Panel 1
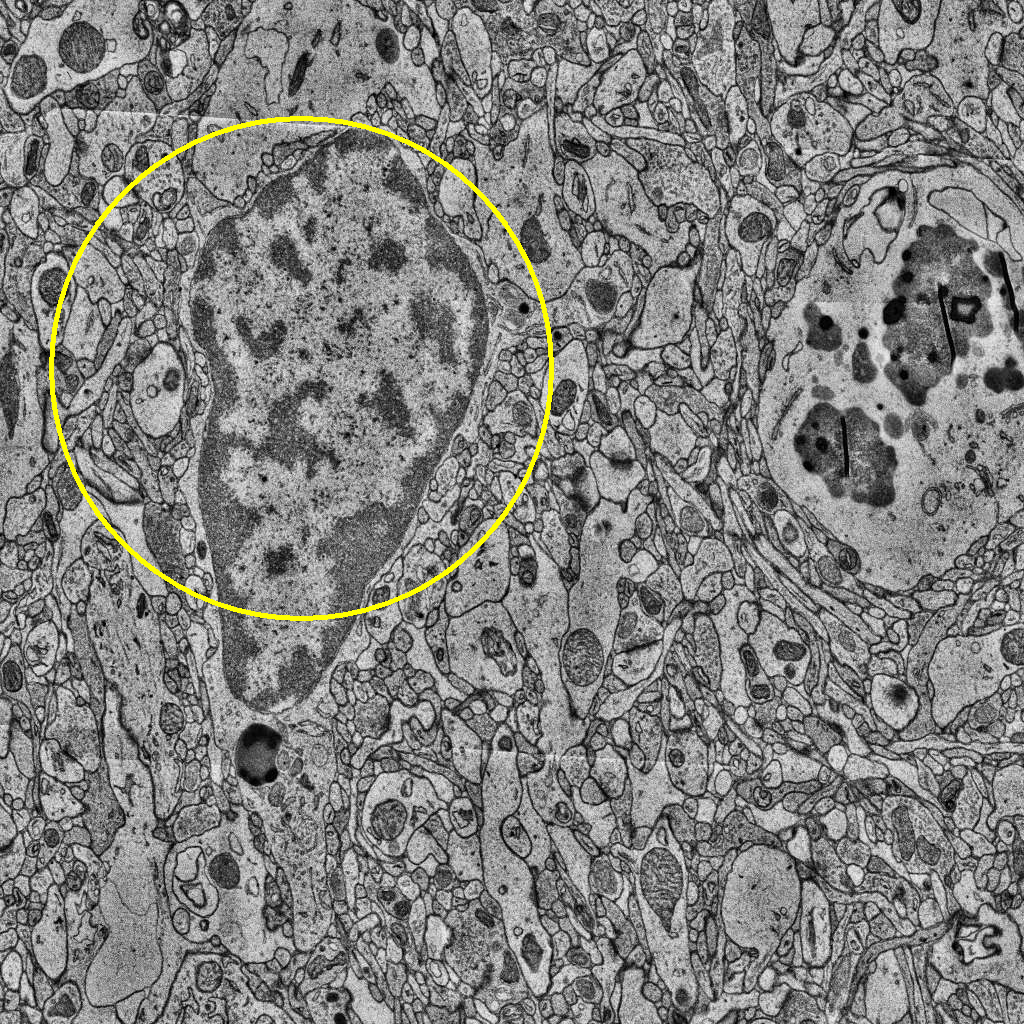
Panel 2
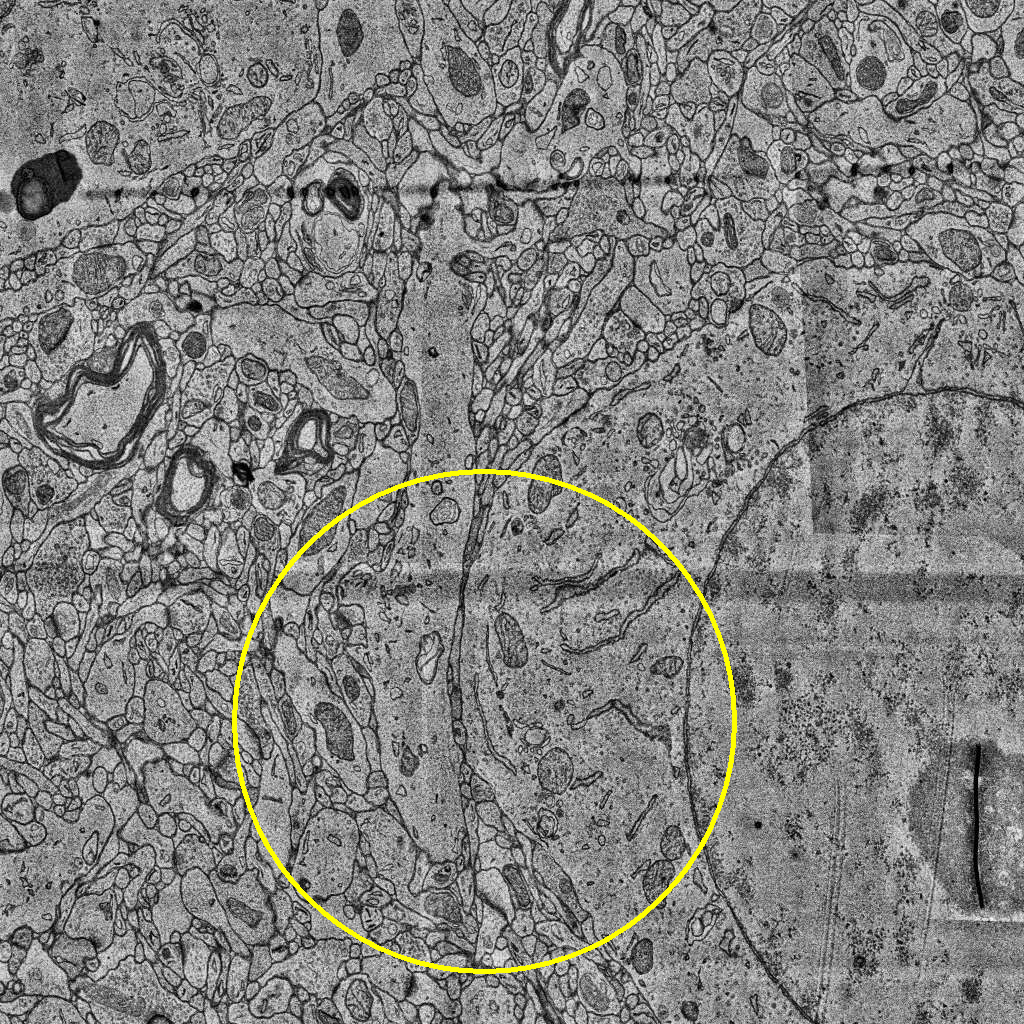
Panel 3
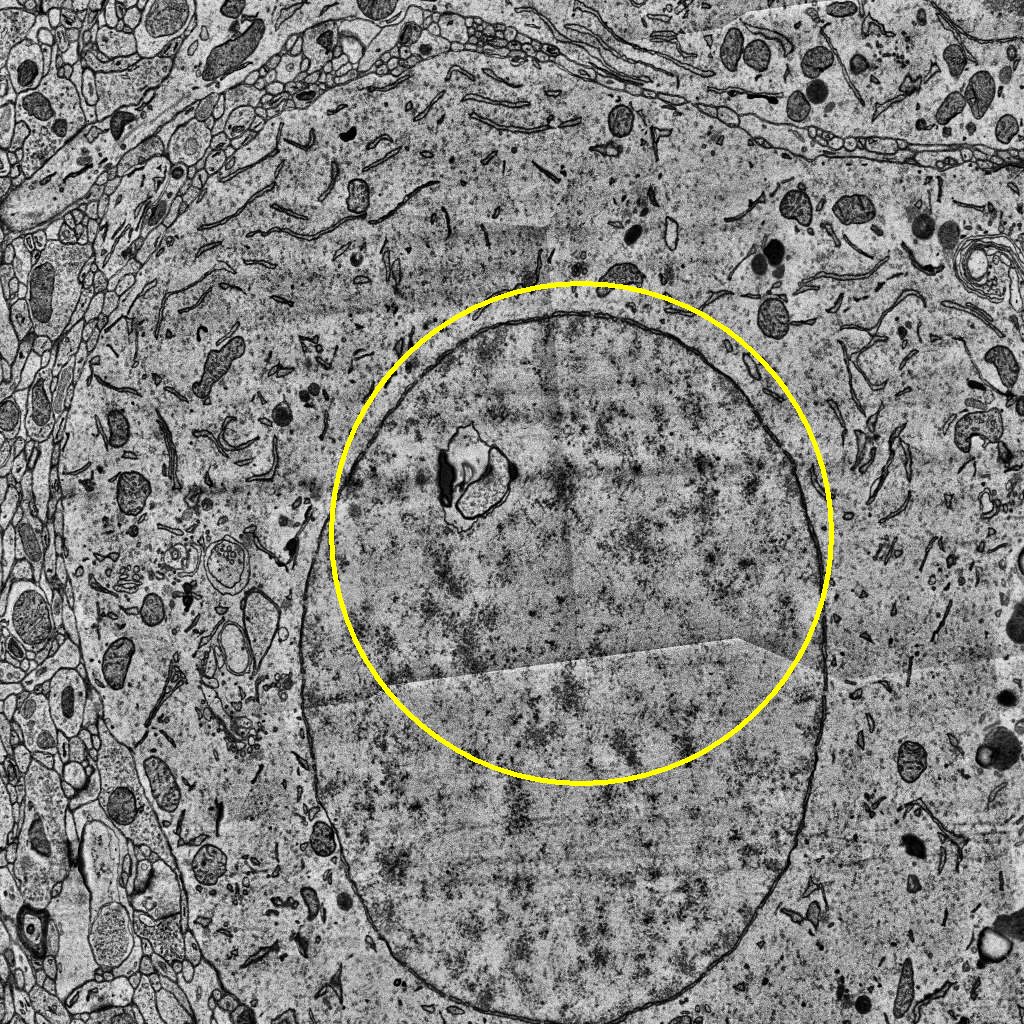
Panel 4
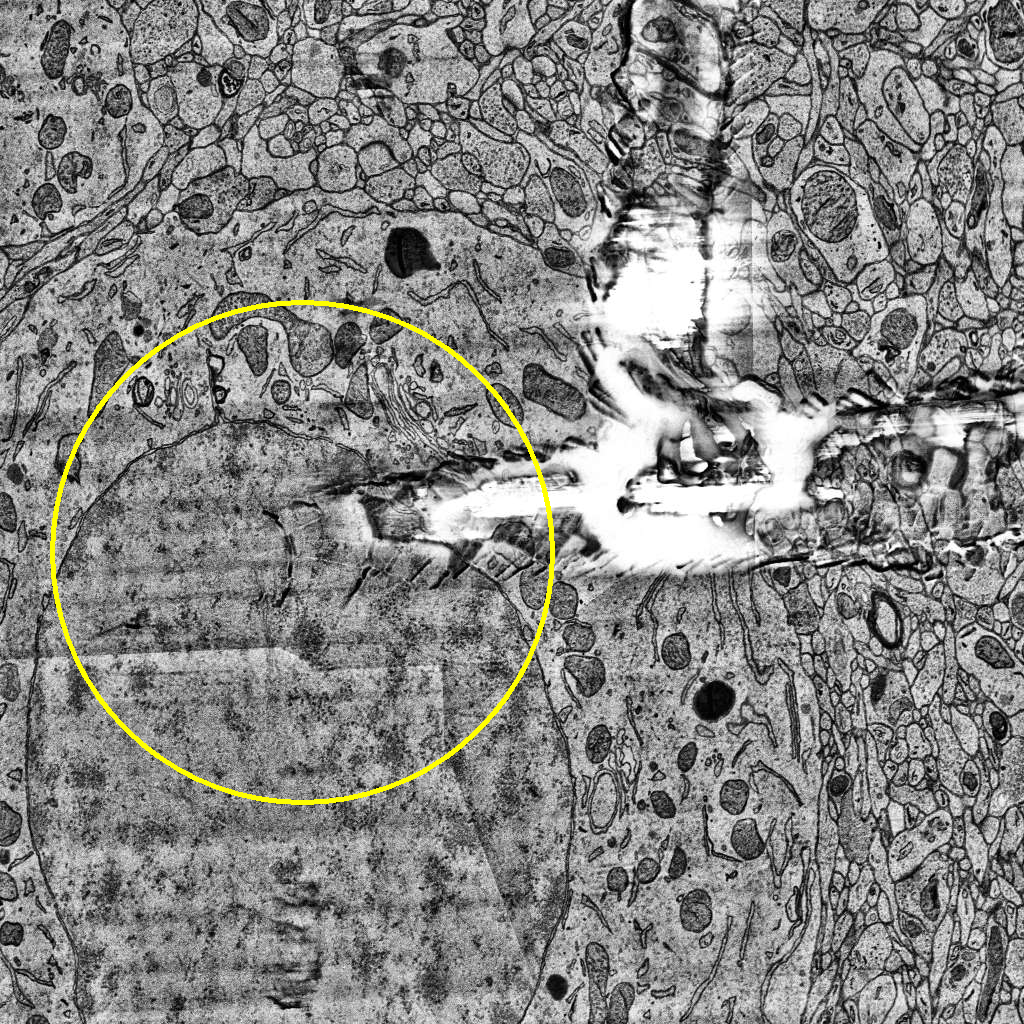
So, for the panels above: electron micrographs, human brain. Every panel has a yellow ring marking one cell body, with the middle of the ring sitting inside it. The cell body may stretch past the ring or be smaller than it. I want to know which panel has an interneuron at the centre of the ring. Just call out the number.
4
